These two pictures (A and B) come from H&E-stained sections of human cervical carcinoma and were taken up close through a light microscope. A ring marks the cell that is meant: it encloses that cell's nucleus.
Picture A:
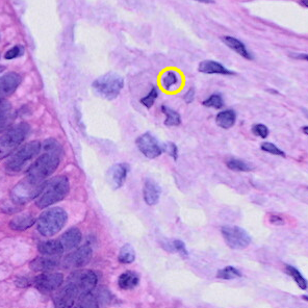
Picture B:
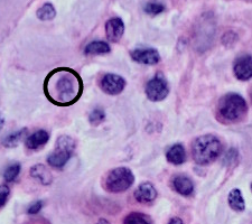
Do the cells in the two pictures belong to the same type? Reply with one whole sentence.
No, the types are not the same, since picture A shows a fibroblast and picture B a “macrophage or monocyte”.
